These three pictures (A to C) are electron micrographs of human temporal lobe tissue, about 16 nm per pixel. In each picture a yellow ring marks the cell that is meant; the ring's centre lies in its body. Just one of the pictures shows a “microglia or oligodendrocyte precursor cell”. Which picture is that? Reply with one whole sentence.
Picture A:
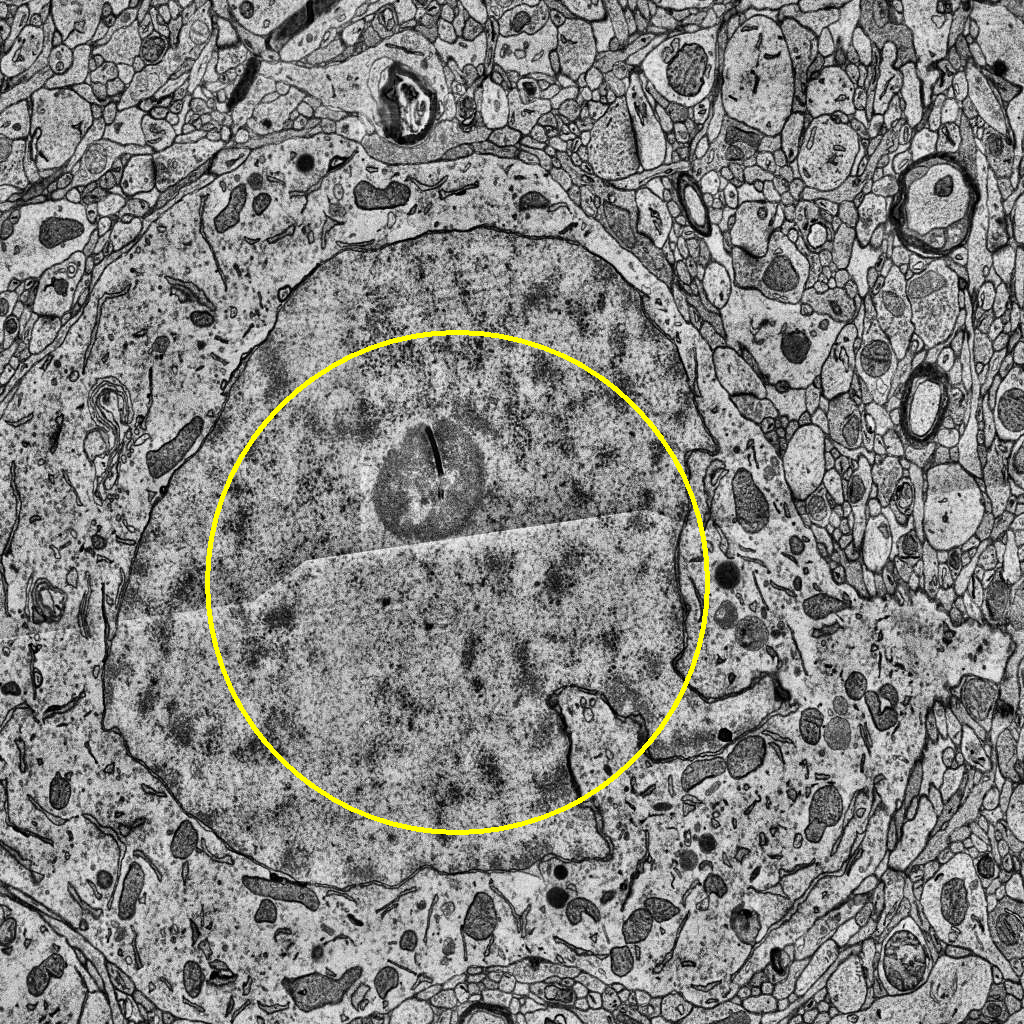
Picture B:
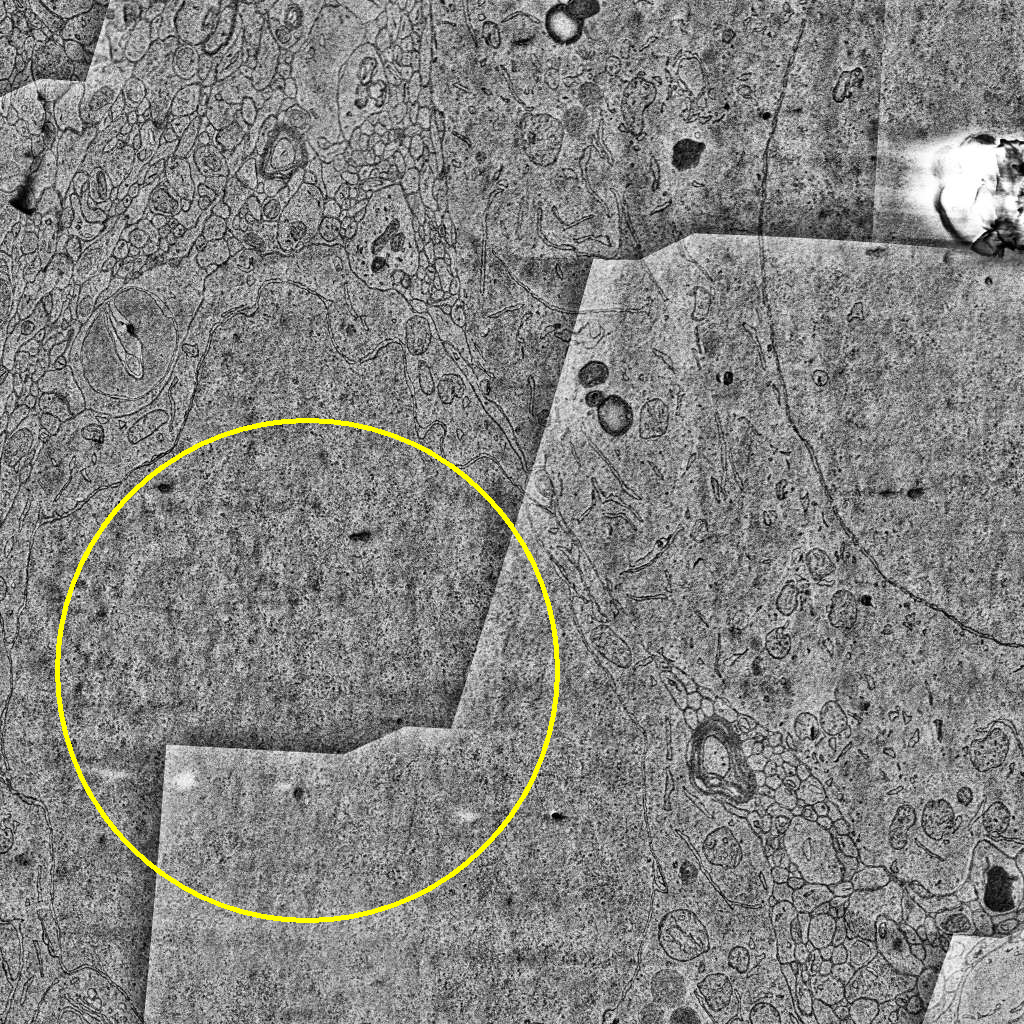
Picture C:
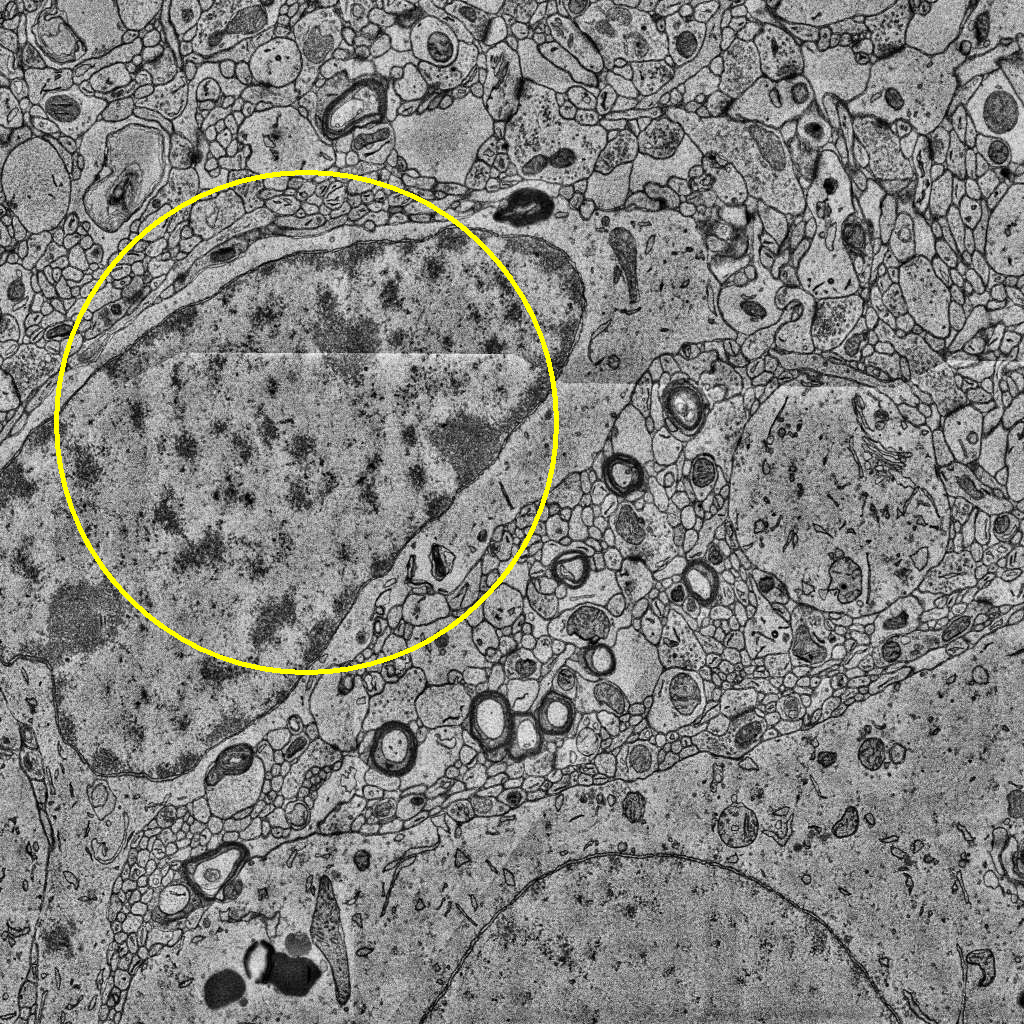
Picture C shows the “microglia or oligodendrocyte precursor cell”.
